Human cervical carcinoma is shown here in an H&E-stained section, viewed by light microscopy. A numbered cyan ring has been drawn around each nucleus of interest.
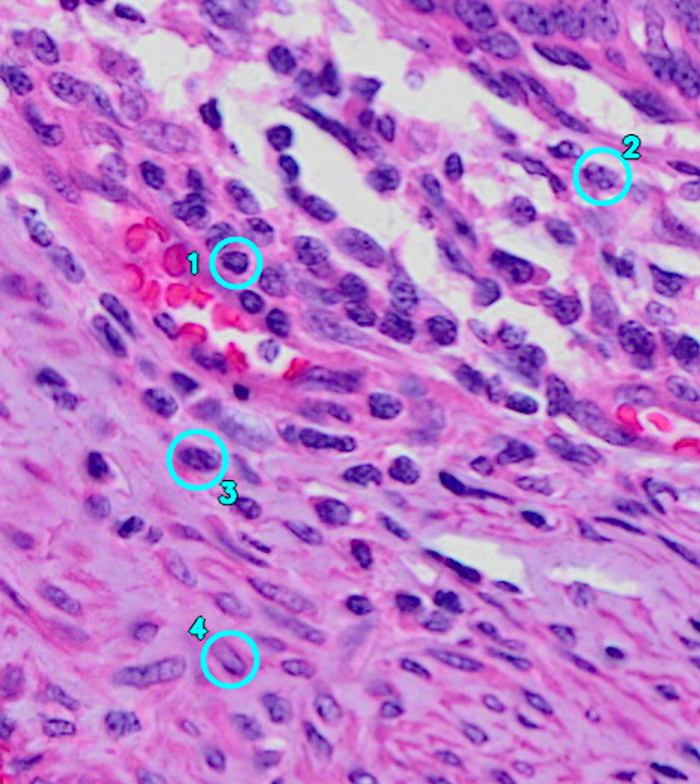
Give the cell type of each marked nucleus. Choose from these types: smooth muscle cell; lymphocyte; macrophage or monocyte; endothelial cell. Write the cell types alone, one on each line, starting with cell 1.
lymphocyte
lymphocyte
lymphocyte
smooth muscle cell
